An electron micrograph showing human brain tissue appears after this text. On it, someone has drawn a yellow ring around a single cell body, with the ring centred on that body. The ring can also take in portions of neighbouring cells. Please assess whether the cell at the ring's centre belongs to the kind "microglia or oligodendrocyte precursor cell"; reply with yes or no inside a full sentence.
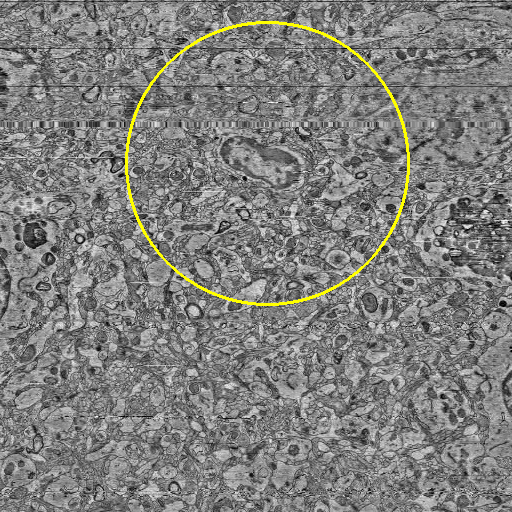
Yes, in this micrograph the cell at the centre of the ring is of that kind.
